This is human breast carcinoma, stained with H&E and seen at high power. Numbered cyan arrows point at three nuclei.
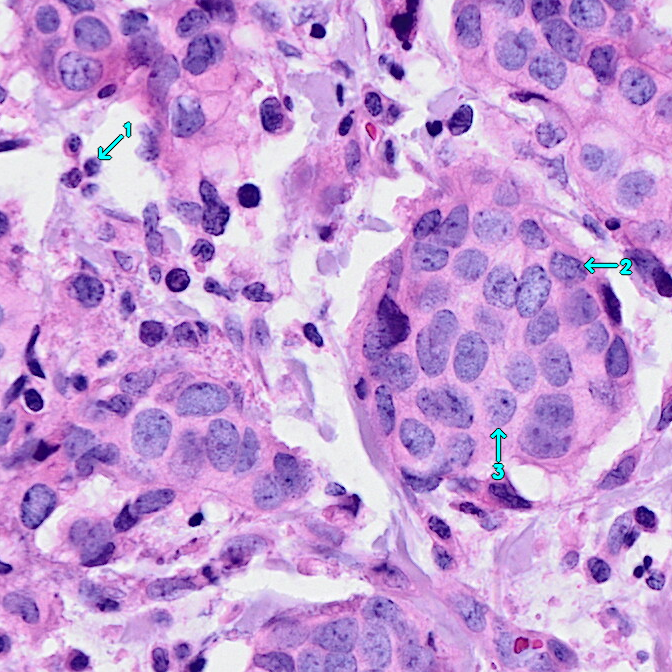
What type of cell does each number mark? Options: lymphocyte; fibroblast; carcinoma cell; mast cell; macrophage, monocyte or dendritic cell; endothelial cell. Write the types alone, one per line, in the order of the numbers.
lymphocyte
carcinoma cell
carcinoma cell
